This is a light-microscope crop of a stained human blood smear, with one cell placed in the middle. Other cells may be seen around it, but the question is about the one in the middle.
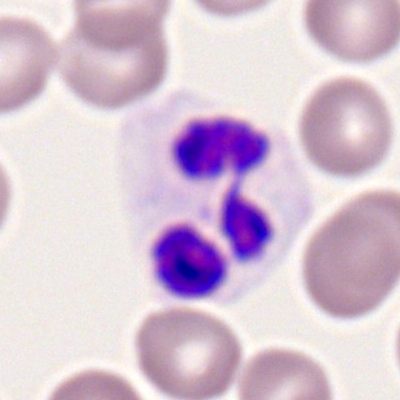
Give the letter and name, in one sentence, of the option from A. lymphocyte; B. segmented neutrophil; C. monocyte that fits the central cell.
The middle of the crop contains a segmented neutrophil, so option B is right.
